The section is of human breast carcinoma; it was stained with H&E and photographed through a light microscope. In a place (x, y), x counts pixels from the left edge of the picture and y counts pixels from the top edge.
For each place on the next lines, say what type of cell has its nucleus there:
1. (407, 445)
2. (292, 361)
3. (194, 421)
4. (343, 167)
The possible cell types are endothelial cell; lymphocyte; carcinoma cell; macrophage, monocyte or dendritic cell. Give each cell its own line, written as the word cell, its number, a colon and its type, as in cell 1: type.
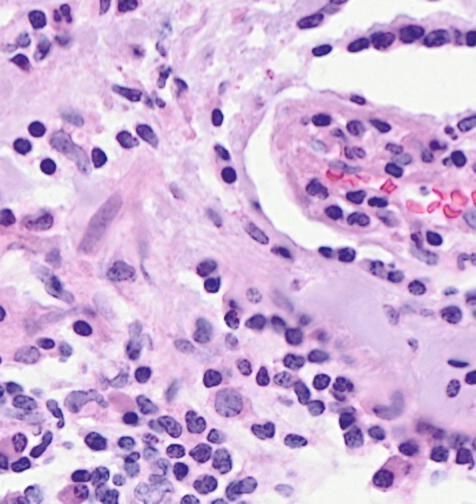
cell 1: lymphocyte
cell 2: lymphocyte
cell 3: lymphocyte
cell 4: endothelial cell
